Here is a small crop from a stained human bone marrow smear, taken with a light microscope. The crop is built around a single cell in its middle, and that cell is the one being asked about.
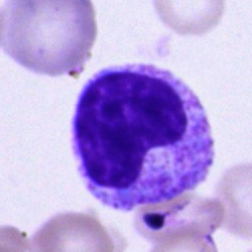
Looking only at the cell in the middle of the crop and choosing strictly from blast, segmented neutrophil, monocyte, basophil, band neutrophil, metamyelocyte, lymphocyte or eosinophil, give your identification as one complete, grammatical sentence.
In the middle of this smear crop, the cell is a metamyelocyte.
